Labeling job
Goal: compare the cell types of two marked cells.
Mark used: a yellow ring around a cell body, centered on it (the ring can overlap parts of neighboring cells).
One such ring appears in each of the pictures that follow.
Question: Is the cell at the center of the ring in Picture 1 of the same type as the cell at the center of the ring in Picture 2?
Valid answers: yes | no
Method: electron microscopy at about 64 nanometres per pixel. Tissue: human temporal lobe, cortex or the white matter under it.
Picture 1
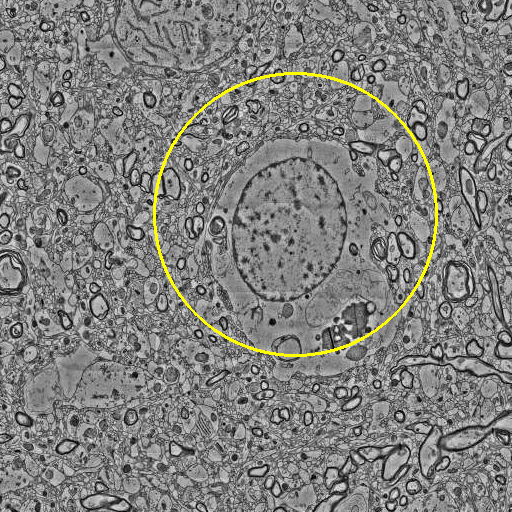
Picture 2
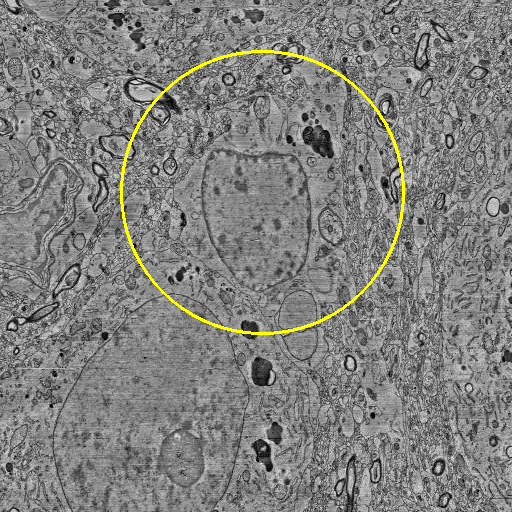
yes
